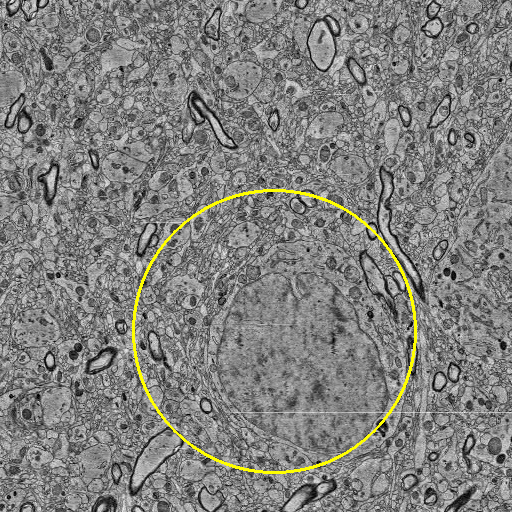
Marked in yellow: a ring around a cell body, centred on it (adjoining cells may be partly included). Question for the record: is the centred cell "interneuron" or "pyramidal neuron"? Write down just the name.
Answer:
interneuron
